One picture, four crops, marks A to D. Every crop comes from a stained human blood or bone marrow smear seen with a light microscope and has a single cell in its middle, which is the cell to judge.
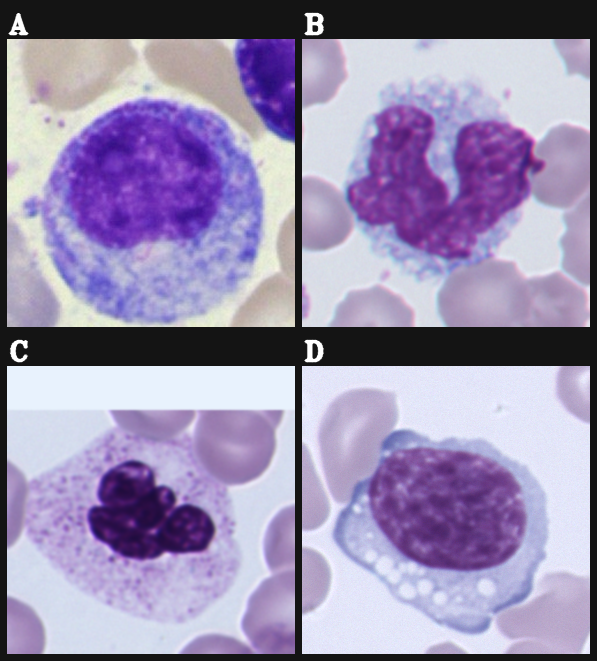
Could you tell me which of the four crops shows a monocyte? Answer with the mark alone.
B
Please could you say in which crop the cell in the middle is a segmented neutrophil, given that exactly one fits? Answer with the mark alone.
C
